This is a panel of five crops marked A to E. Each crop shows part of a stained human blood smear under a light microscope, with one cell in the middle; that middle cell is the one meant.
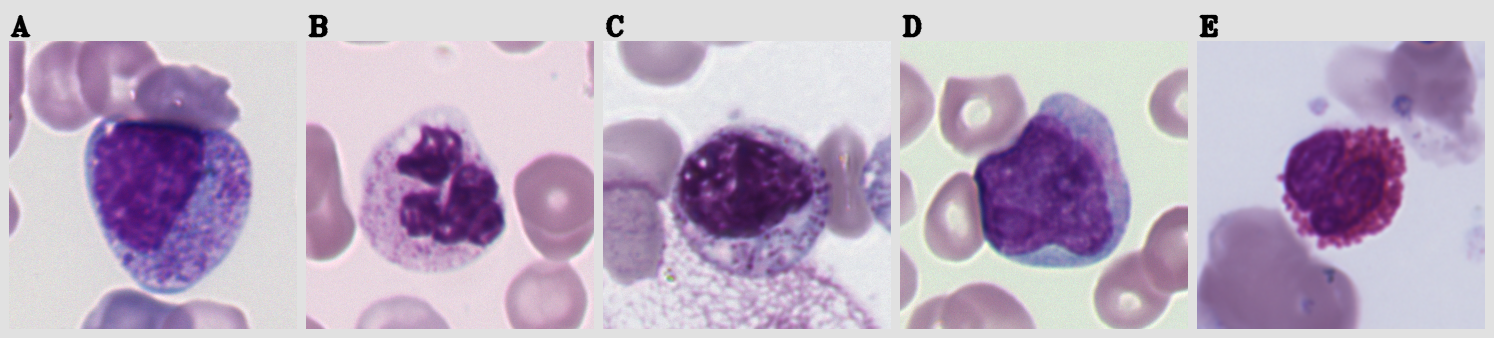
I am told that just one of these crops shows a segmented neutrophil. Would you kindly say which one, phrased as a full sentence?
Of the crops given, a segmented neutrophil is found in crop B.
